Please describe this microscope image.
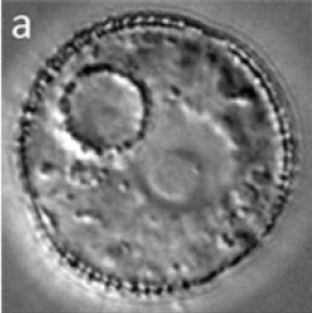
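A bicellular pollen grain is seen, with a single round generative cell lying within it. The grain is nearly round and bounded by a thick wall whose outer layer appears as a beaded rim. The generative cell sits in the upper left, a round body with a distinct dotted boundary. The surrounding cytoplasm is granular with scattered irregular spaces.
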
